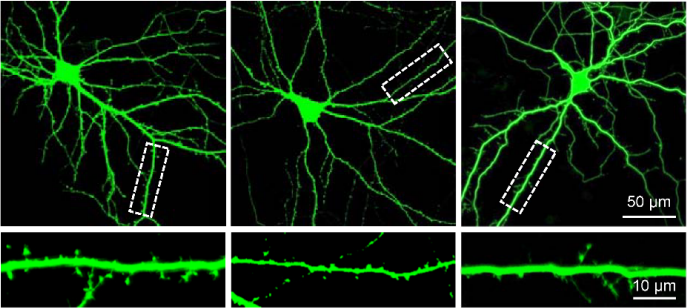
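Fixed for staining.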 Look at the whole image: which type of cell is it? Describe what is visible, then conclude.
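Neurons. Cells with a central soma giving off several long branching processes.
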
